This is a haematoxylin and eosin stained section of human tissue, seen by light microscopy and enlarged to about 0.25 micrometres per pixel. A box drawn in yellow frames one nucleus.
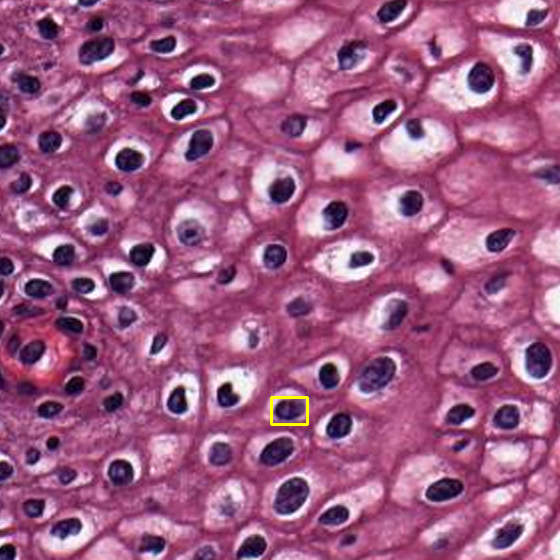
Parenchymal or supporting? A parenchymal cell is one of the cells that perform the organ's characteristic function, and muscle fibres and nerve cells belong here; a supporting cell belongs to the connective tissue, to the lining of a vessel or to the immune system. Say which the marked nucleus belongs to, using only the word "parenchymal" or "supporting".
parenchymal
